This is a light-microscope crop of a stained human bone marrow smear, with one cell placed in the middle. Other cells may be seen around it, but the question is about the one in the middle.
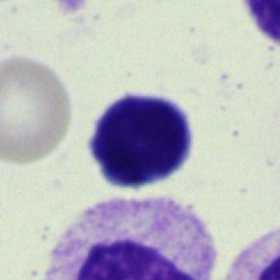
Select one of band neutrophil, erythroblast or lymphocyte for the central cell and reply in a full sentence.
The crop centres on a single cell, and that cell is a lymphocyte.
